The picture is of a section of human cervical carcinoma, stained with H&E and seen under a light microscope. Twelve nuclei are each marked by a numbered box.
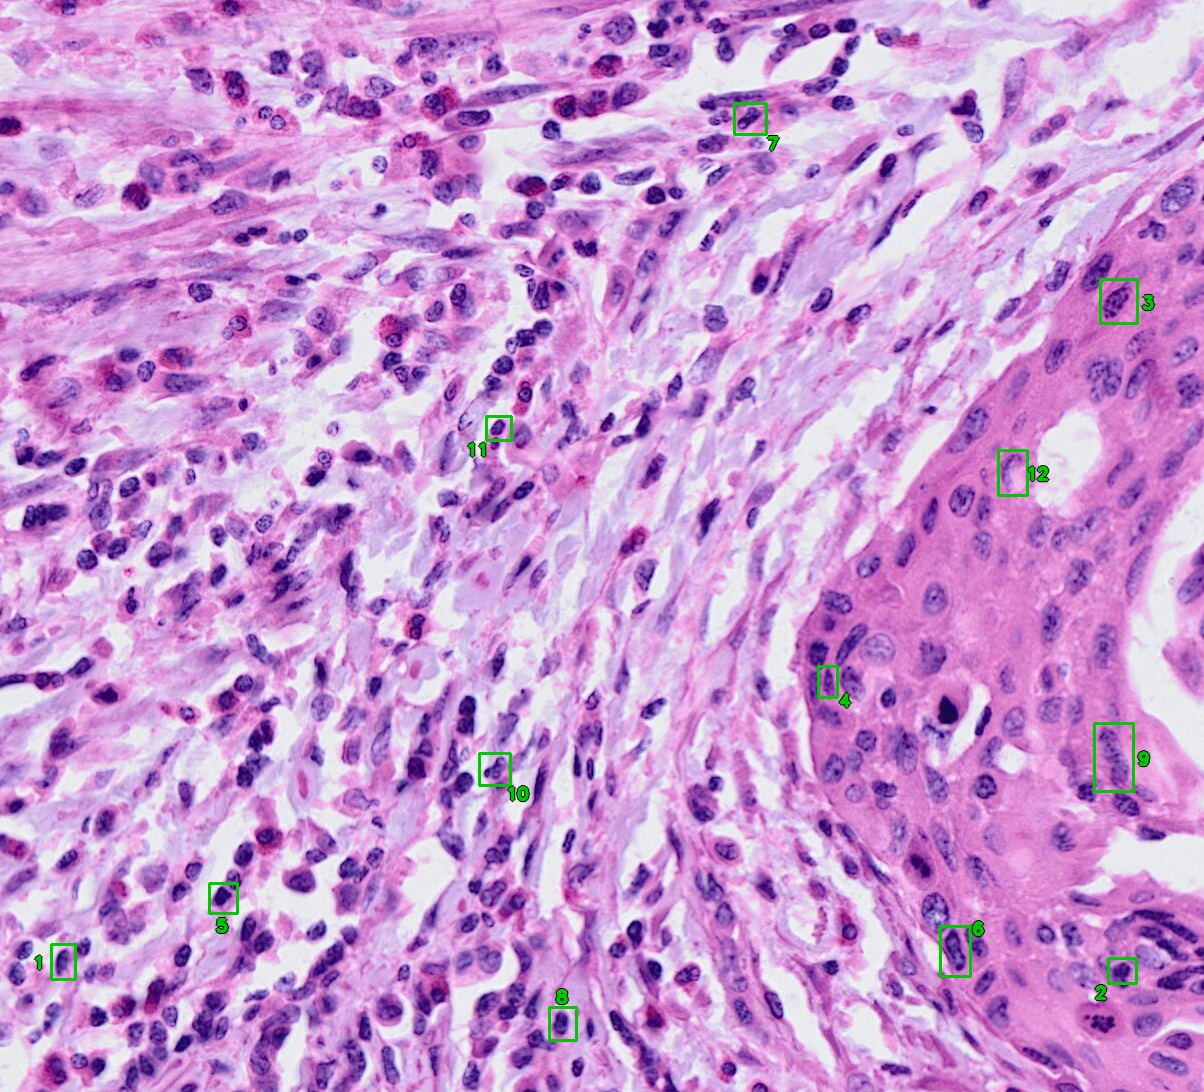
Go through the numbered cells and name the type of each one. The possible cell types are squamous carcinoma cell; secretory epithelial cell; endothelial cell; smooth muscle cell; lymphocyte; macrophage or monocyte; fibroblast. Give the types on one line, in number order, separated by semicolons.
lymphocyte; squamous carcinoma cell; squamous carcinoma cell; squamous carcinoma cell; lymphocyte; squamous carcinoma cell; lymphocyte; lymphocyte; squamous carcinoma cell; lymphocyte; lymphocyte; squamous carcinoma cell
